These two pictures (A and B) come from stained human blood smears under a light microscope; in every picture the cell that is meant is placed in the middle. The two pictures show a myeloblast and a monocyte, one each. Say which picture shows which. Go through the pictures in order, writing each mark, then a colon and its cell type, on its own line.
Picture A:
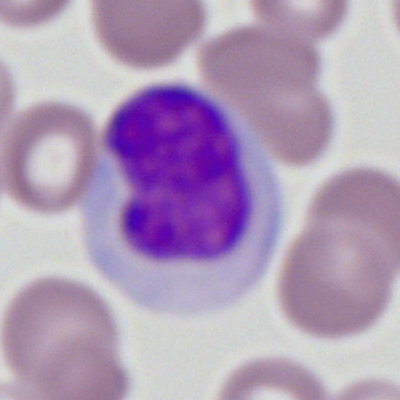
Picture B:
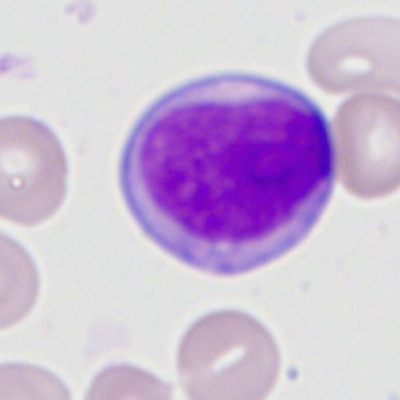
A: monocyte
B: myeloblast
